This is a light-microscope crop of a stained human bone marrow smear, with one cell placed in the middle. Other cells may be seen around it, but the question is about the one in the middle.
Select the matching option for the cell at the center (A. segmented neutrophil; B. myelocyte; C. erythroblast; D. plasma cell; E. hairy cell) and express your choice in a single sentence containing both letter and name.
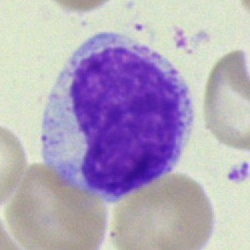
The correct response is option B, naming the cell in the middle as a myelocyte.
